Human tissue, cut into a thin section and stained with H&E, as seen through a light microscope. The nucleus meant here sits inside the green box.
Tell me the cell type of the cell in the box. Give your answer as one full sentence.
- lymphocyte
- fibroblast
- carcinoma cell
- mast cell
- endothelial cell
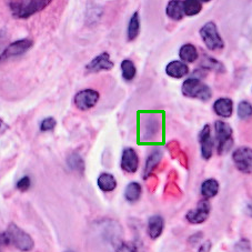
The cell type represented by the cell in the box is that of an endothelial cell.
